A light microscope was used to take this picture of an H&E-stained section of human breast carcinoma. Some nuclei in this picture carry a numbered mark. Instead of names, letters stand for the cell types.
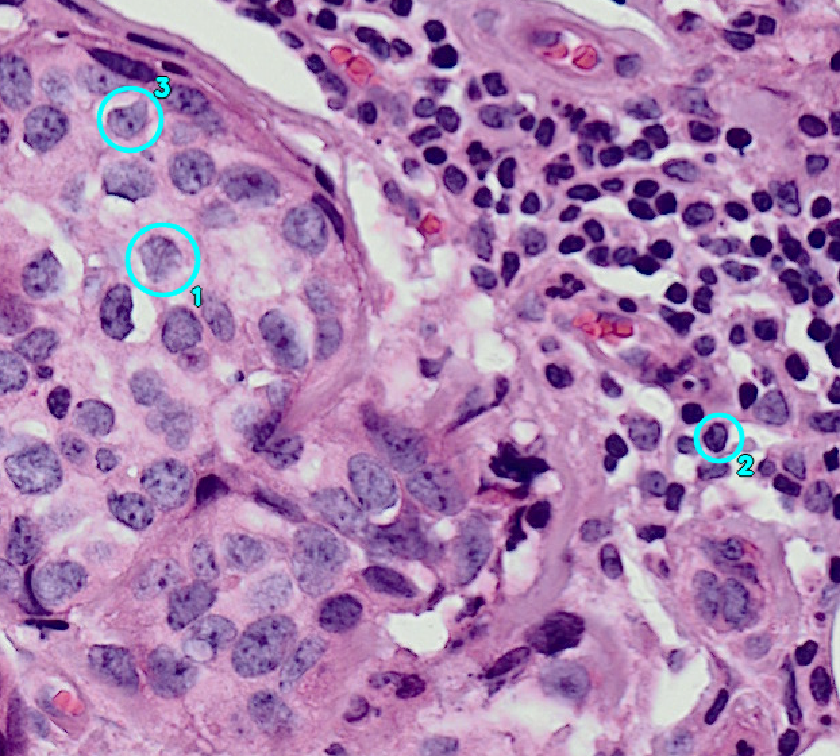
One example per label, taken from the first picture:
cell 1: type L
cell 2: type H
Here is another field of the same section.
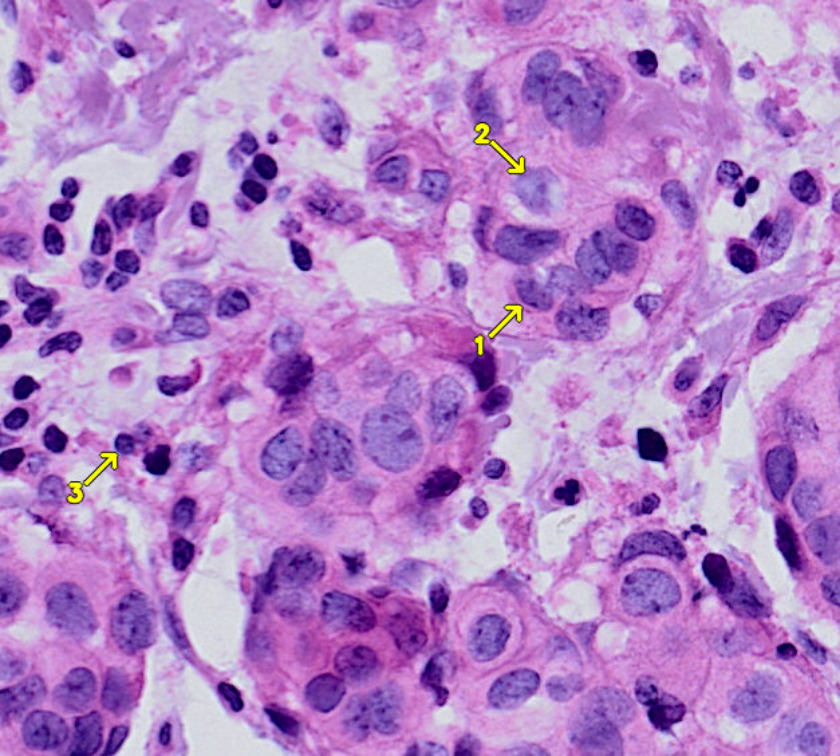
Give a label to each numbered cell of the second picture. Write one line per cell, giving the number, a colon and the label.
1: type L
2: type L
3: type H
